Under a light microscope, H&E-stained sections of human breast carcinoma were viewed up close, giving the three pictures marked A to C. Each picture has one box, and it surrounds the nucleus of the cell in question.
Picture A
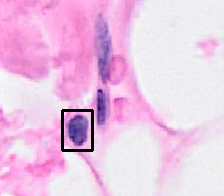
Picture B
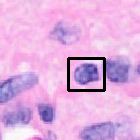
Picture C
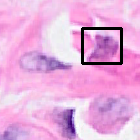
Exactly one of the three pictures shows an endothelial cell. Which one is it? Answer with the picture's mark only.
C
